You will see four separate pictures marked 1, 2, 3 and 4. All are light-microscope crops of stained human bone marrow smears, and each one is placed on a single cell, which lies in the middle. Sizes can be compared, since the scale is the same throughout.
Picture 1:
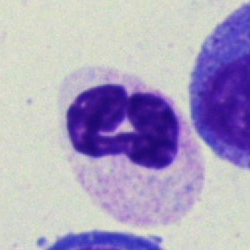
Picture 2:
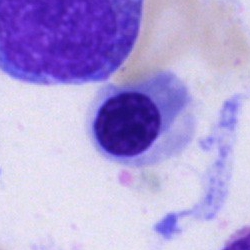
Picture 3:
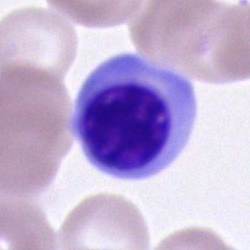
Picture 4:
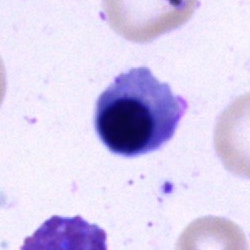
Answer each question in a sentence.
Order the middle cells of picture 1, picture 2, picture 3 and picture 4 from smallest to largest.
Smallest first: 4, 2, 3, 1.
